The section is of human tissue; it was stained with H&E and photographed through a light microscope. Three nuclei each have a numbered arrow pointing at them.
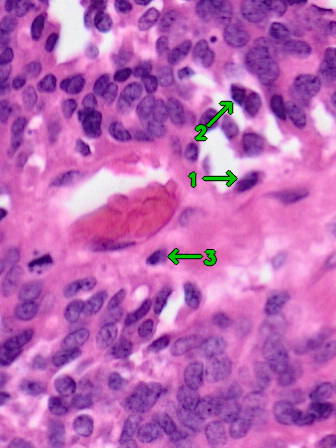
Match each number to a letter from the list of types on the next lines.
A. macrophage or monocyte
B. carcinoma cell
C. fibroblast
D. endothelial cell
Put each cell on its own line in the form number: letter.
1: A
2: B
3: A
